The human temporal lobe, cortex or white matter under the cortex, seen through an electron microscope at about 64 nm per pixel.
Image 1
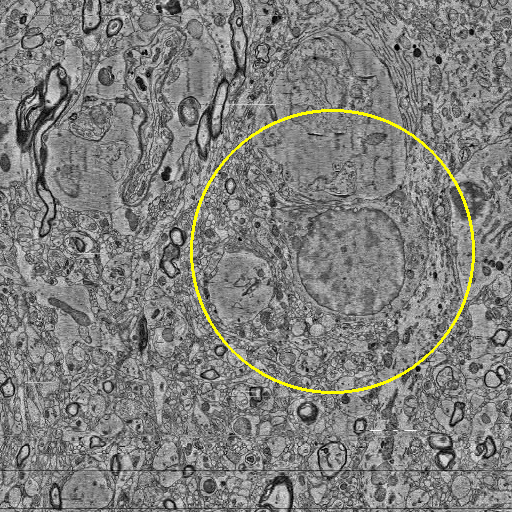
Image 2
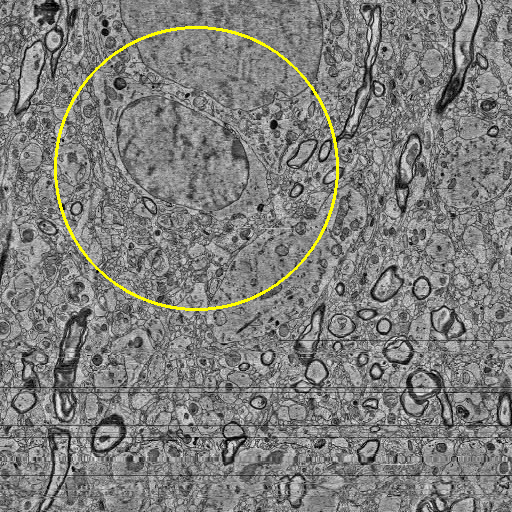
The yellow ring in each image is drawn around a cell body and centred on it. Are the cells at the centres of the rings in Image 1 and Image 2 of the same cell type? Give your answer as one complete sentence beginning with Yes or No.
No, the two cells are of two separate types.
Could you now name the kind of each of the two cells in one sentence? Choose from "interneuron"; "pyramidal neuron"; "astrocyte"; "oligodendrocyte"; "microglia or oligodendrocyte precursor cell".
The first ring encloses an oligodendrocyte; the second ring encloses a microglial cell or oligodendrocyte precursor cell.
